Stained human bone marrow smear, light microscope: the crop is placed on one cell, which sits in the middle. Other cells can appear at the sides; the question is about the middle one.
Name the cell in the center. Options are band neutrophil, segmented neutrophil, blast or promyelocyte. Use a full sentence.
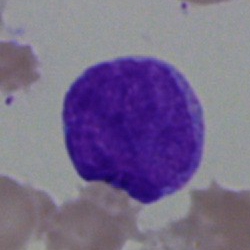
What sits at the centre of this crop is a blast.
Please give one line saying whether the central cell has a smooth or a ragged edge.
Around its whole circumference the outline stays smooth, free of projections.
